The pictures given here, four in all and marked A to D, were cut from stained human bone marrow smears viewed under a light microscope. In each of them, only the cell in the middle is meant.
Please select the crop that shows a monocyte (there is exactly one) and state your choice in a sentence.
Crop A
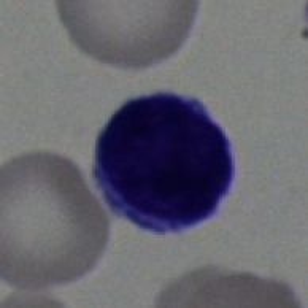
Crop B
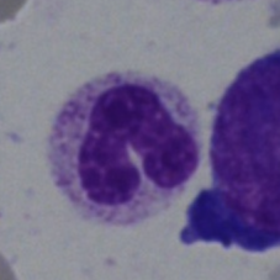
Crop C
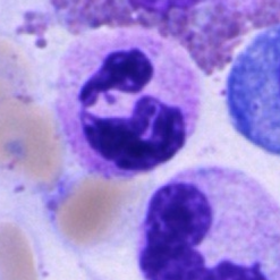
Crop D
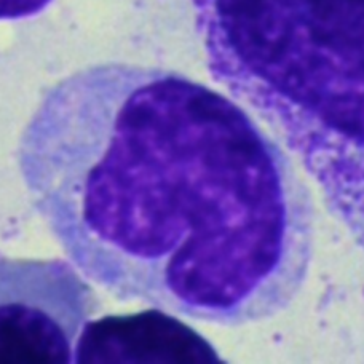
Of the crops given, a monocyte is found in crop D.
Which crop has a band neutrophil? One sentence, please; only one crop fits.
Of the crops shown, crop B depicts a band neutrophil.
